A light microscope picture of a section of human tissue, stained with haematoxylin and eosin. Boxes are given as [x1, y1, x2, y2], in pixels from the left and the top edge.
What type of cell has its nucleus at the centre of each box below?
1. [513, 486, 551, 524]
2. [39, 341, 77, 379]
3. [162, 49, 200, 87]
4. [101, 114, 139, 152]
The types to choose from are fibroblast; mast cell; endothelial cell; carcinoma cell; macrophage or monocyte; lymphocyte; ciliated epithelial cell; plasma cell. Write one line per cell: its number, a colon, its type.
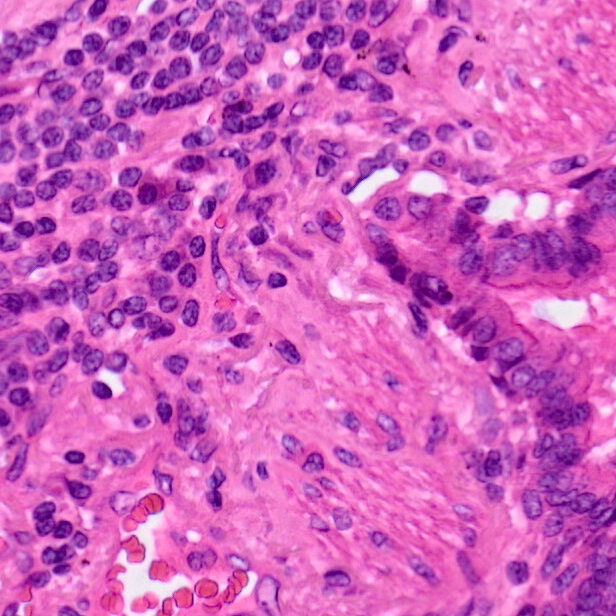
1: ciliated epithelial cell
2: lymphocyte
3: lymphocyte
4: lymphocyte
